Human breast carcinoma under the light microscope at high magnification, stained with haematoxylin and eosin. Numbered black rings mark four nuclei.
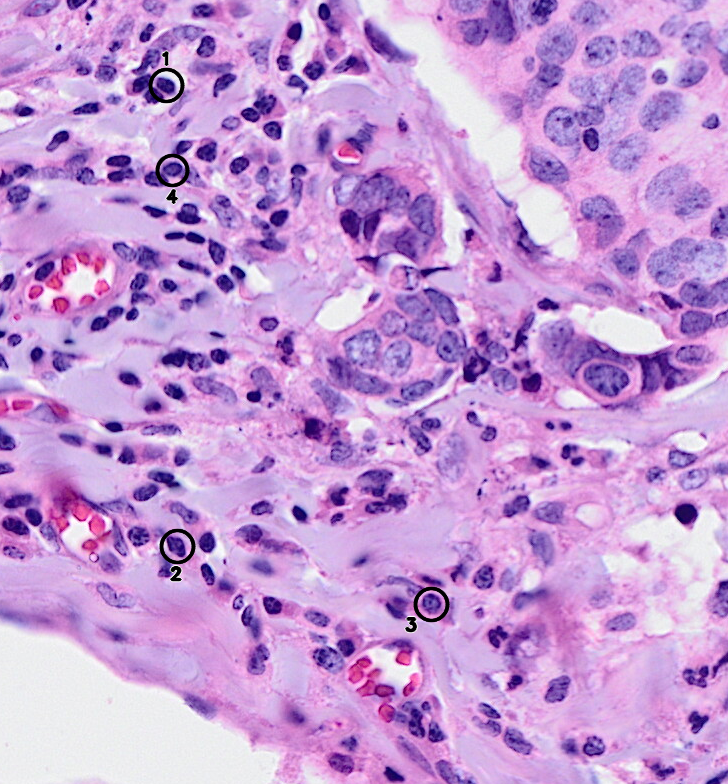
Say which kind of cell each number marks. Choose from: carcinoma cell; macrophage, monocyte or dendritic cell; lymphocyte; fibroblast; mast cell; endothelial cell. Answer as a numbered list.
1. lymphocyte
2. lymphocyte
3. mast cell
4. lymphocyte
